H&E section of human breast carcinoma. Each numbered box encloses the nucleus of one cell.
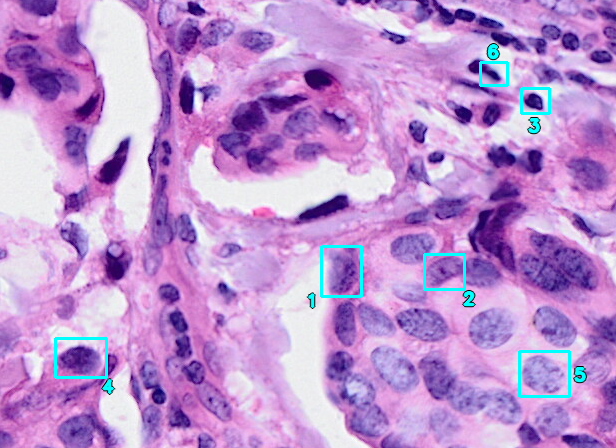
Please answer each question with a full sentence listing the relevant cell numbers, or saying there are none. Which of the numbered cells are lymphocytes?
The cells with labels 3 and 6 are lymphocytes.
